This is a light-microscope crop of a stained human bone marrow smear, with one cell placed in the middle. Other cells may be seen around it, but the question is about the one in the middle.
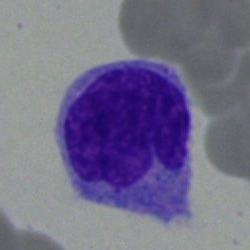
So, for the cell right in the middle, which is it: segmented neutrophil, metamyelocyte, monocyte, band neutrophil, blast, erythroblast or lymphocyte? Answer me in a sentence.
Here the cell in the middle is a monocyte.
